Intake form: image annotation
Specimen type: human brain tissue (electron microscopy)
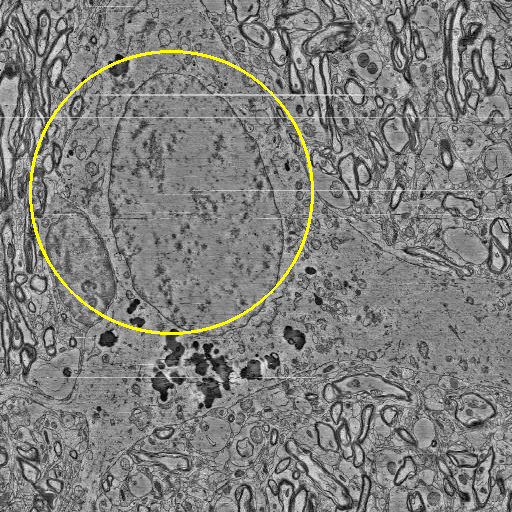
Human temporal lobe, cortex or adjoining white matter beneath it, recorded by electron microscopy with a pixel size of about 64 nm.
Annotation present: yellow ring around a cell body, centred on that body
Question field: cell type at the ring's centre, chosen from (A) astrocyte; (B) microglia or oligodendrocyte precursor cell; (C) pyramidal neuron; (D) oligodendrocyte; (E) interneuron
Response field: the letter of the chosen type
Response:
C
